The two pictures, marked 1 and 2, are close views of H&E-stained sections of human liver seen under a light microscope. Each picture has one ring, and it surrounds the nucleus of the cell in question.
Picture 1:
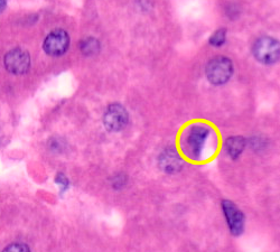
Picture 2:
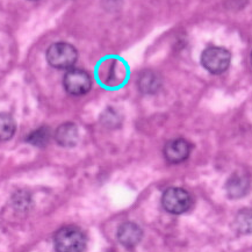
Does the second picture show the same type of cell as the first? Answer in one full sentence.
No, the types are not the same, since picture 1 shows an endothelial cell and picture 2 a “fibroblast or stellate cell”.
